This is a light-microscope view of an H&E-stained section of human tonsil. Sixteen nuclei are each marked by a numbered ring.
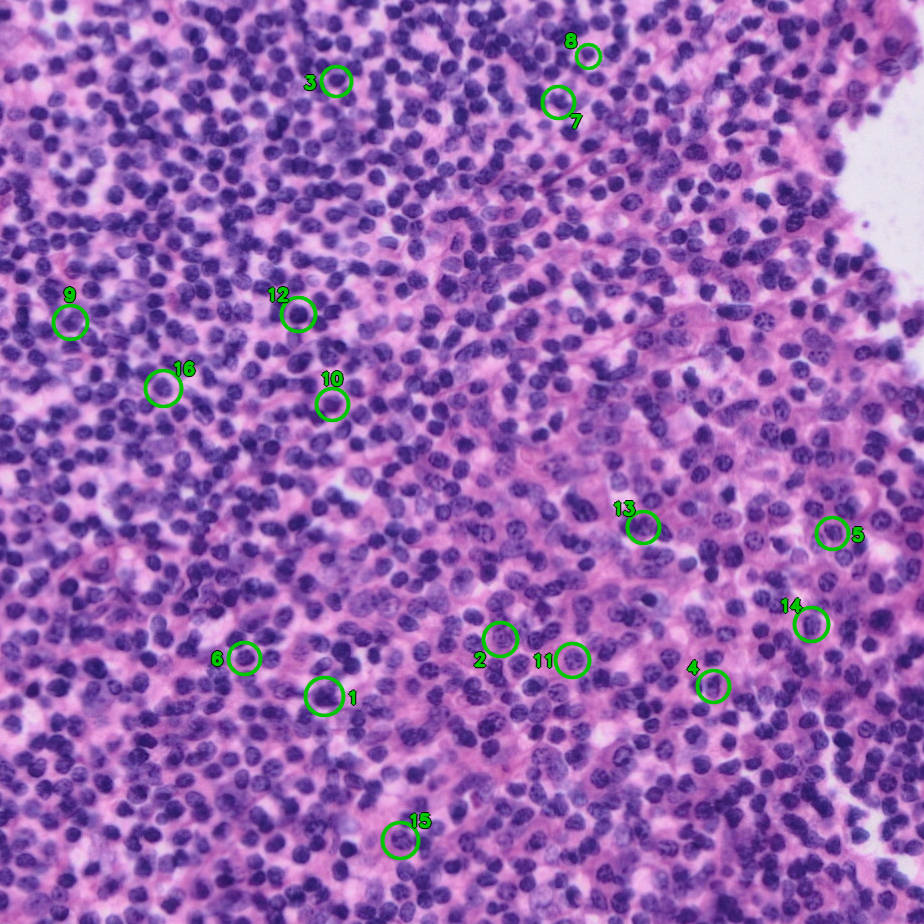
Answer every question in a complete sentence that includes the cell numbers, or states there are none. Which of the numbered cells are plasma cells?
The cells that the numbers 2, 4, 5, 11, 13, 14 and 15 belong to are plasma cells.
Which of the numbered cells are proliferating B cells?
Exactly one numbered cell is a proliferating B cell, and that cell is number 1.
